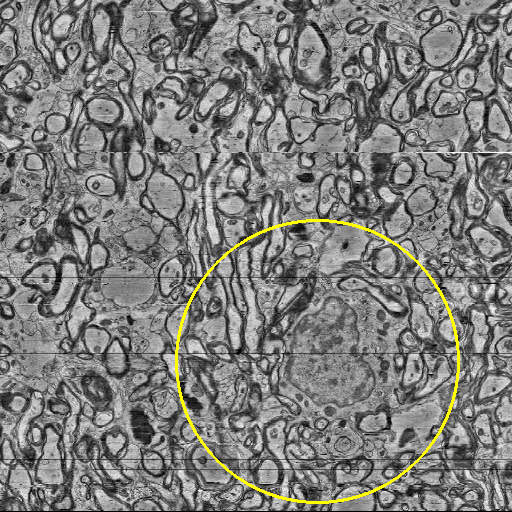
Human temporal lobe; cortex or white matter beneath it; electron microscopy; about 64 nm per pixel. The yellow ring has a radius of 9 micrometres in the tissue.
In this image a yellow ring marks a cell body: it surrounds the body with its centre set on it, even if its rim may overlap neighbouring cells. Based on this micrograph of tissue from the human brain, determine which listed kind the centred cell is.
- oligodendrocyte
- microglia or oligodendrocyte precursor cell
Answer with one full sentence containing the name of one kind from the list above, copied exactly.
It is an oligodendrocyte whose body the yellow ring encloses at its centre.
